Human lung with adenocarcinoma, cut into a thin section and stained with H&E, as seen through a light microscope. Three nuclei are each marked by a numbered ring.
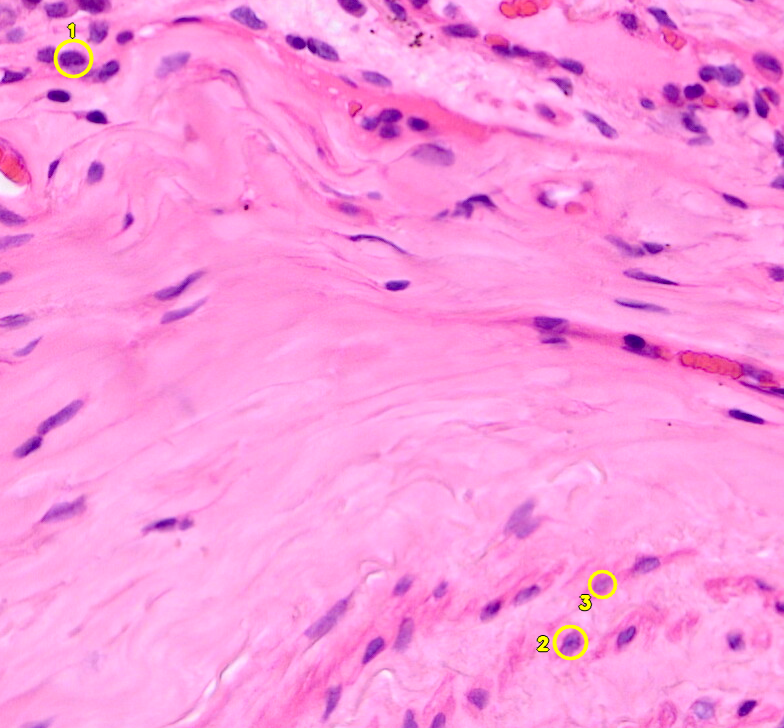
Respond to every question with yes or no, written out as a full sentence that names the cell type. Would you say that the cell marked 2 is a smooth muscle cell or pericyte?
Yes, the cell identified as number 2 is a smooth muscle cell or pericyte.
